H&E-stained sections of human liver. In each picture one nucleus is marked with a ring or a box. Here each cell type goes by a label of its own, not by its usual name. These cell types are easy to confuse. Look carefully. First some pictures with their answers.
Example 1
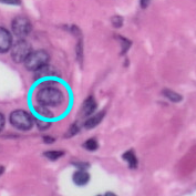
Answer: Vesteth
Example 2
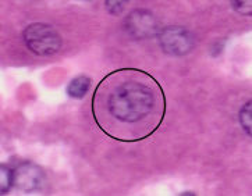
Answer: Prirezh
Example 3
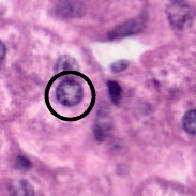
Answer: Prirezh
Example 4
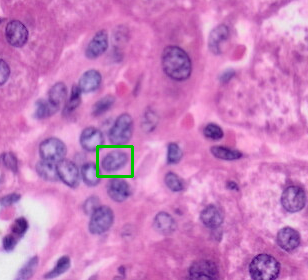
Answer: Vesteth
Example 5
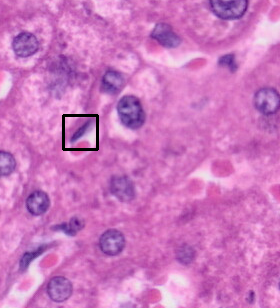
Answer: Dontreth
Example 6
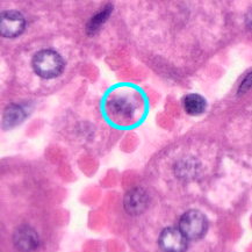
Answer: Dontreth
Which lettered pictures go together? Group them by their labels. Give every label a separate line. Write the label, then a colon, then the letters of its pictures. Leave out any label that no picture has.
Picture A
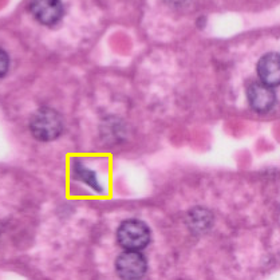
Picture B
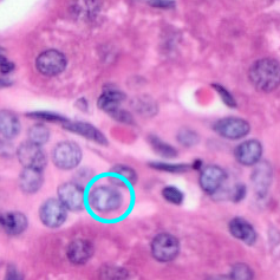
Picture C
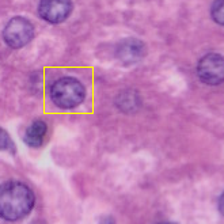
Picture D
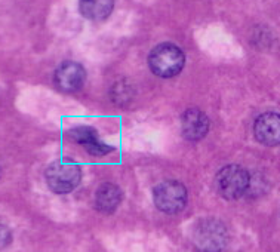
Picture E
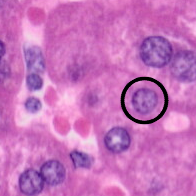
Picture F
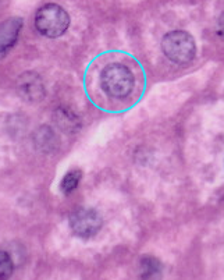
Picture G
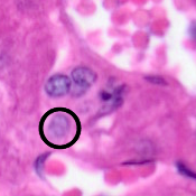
Vesteth: B, G
Prirezh: C, E, F
Dontreth: A, D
